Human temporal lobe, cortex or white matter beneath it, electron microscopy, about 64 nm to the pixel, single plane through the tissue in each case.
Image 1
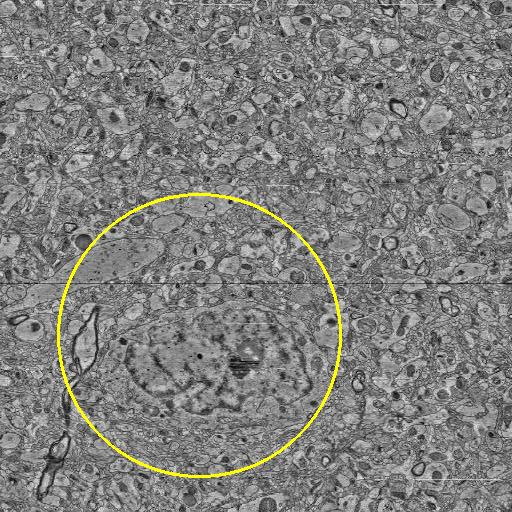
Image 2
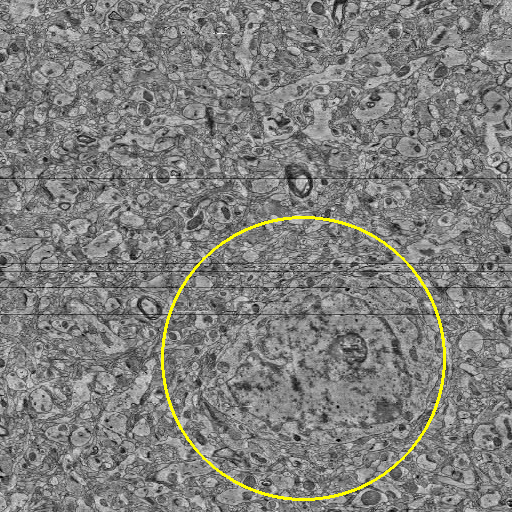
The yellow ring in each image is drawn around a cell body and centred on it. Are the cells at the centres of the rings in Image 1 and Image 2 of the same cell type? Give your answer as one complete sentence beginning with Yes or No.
Yes, both cells are of the same type.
